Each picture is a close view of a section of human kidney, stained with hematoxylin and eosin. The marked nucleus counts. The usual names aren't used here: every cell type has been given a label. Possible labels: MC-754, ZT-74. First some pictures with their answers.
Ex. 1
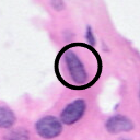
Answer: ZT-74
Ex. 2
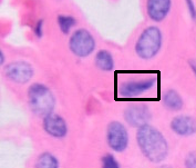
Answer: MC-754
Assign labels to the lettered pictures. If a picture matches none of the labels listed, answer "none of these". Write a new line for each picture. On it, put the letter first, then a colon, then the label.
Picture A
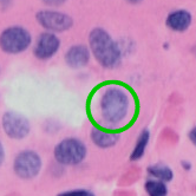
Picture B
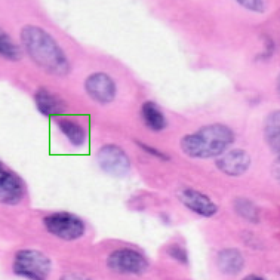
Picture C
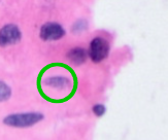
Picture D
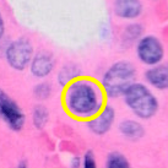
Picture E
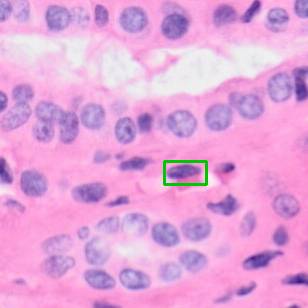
A: ZT-74
B: none of these
C: MC-754
D: ZT-74
E: MC-754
